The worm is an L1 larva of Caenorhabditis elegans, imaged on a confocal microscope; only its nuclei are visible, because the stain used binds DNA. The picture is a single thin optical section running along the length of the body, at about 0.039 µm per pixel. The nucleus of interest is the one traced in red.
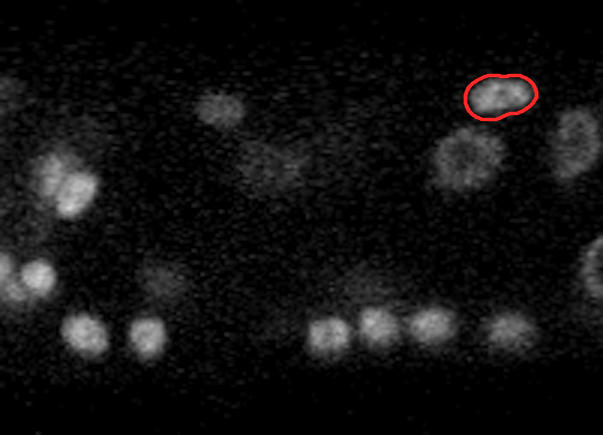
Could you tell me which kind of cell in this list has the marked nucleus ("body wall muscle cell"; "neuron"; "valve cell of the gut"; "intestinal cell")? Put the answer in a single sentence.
It is the nucleus of a body wall muscle cell.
